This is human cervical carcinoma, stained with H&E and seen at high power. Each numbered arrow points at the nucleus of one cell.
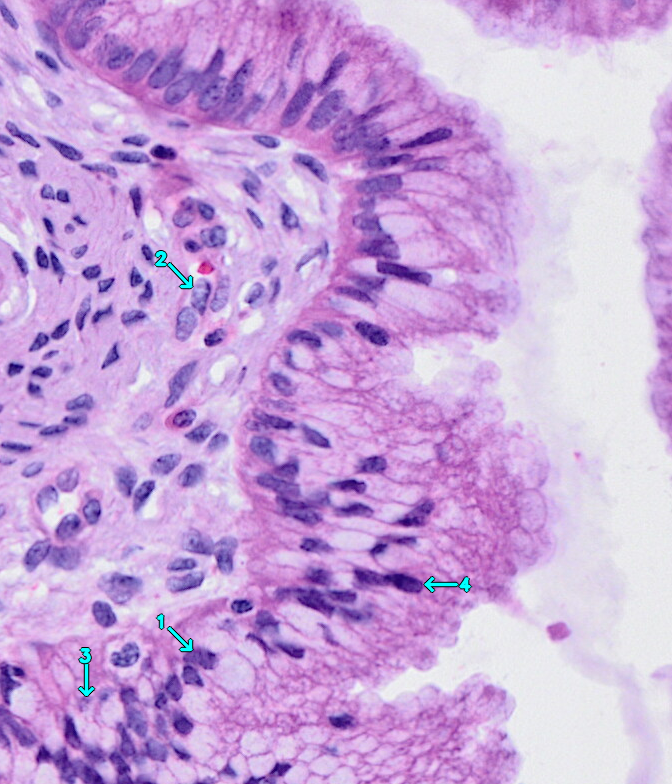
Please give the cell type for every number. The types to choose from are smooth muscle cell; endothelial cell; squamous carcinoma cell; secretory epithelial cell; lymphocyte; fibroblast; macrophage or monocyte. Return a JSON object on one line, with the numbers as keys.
{"1": "secretory epithelial cell", "2": "endothelial cell", "3": "secretory epithelial cell", "4": "secretory epithelial cell"}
